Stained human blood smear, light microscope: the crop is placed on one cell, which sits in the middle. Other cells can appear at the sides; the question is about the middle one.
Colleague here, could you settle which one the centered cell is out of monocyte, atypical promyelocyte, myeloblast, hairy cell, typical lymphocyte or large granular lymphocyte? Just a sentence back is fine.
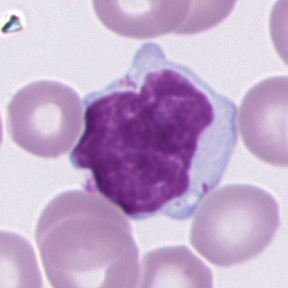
The middle position in this crop is taken by a large granular lymphocyte.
